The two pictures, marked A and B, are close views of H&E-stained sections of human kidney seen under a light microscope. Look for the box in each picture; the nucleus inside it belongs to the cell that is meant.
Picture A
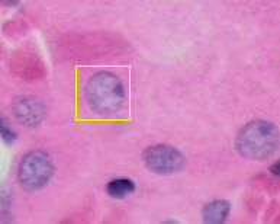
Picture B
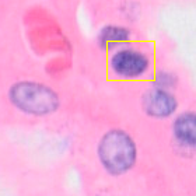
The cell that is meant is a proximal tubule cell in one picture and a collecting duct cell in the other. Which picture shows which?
A: proximal tubule cell
B: collecting duct cell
